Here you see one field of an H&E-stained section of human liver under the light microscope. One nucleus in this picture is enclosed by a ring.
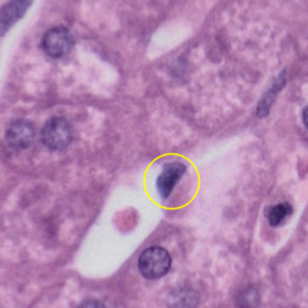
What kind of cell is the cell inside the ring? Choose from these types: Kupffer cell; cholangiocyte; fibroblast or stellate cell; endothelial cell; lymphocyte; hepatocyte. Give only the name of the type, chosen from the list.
endothelial cell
